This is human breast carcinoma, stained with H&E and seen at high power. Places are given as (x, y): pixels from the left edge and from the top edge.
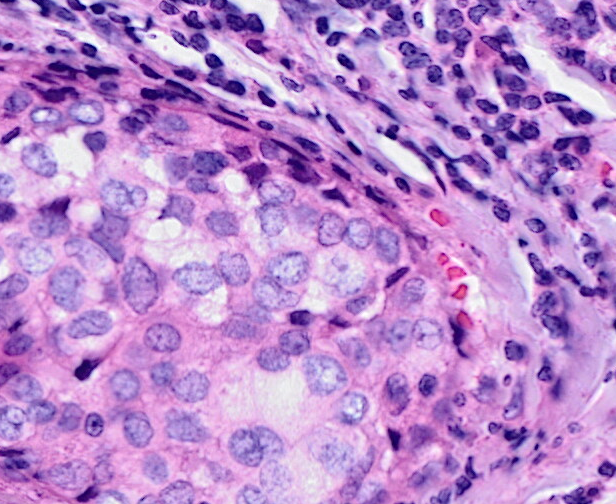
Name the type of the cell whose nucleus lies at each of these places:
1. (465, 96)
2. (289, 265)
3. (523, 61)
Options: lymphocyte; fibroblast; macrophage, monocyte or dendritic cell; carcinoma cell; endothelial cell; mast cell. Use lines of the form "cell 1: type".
cell 1: lymphocyte
cell 2: carcinoma cell
cell 3: lymphocyte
